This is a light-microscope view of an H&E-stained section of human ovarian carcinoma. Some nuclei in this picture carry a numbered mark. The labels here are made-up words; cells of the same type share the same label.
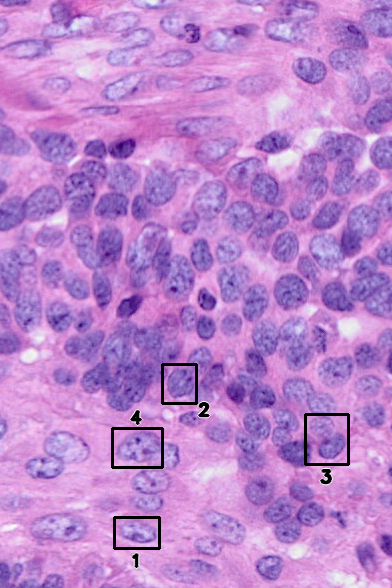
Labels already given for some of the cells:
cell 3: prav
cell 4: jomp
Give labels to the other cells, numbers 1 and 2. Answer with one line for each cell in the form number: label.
1: jomp
2: prav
